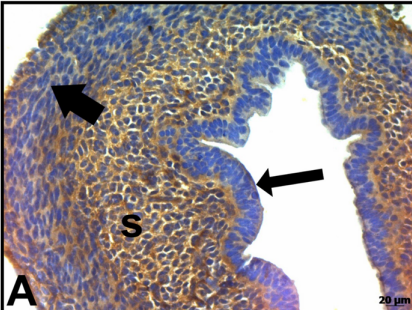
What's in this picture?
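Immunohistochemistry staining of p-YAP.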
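A lumen lined by epithelium is surrounded by a broad, densely cellular stroma, with muscle tissue forming the outer edge. The epithelium is a single layer of tall columnar cells whose elongated blue nuclei are crowded side by side, and it stains only faintly brown. The stroma beneath is packed with small round to oval nuclei, and the spaces between them are filled with strong brown staining. Toward the outer edge the cells become flatter and lie in a band parallel to the surface.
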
